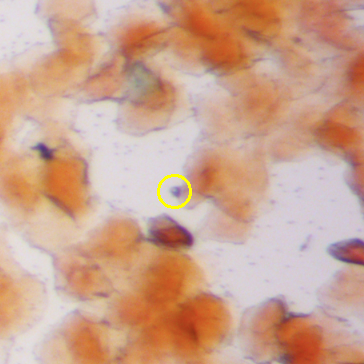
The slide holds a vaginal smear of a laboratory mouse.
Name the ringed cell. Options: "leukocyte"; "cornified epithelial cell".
leukocyte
